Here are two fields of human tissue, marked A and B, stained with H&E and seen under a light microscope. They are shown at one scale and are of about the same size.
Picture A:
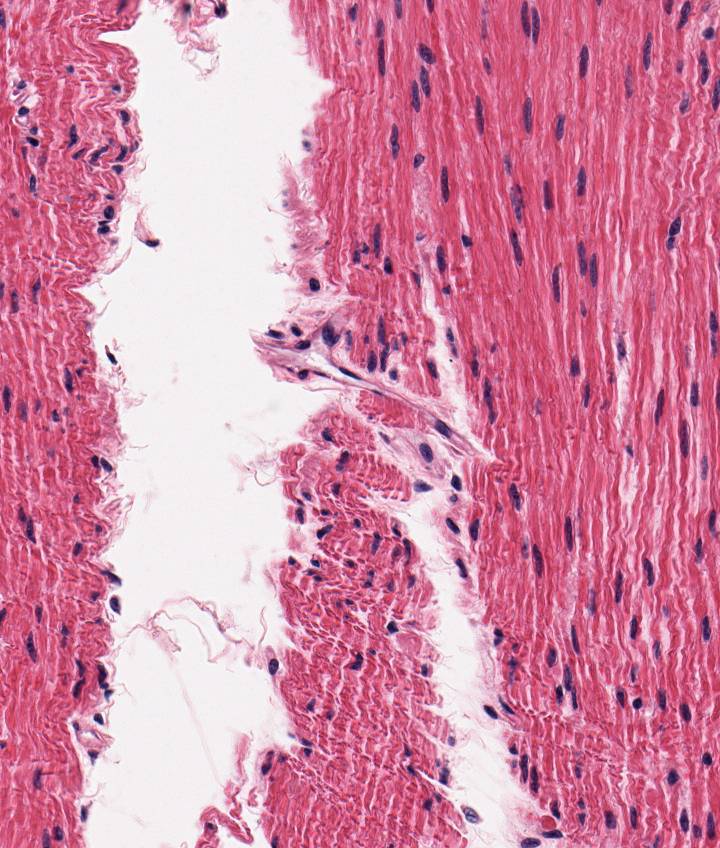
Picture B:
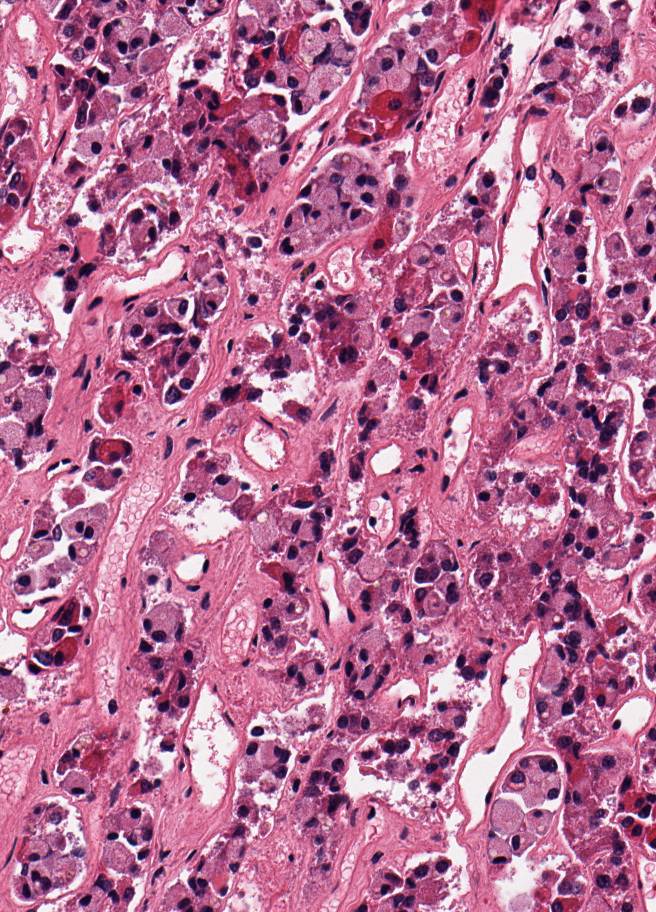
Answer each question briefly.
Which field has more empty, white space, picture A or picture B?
A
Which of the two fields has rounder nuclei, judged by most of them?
B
